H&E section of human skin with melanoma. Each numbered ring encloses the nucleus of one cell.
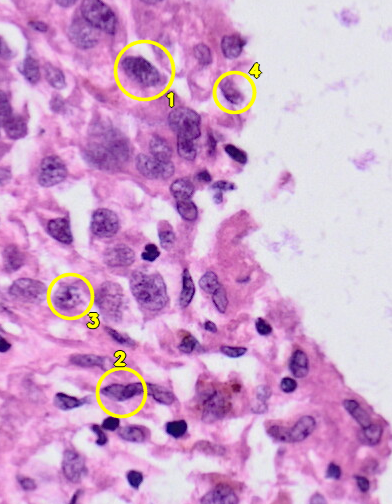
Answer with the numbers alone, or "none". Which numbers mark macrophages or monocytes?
2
